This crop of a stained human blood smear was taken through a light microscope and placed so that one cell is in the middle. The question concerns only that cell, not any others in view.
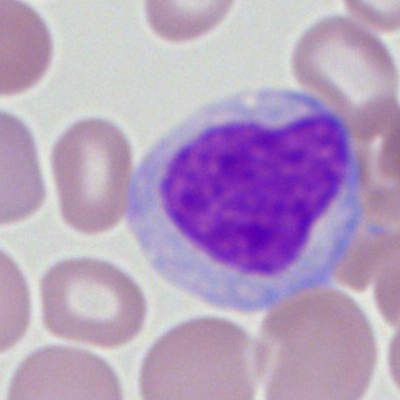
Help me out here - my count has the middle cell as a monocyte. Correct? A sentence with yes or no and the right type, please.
Yes, the middle cell of the field is a monocyte.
